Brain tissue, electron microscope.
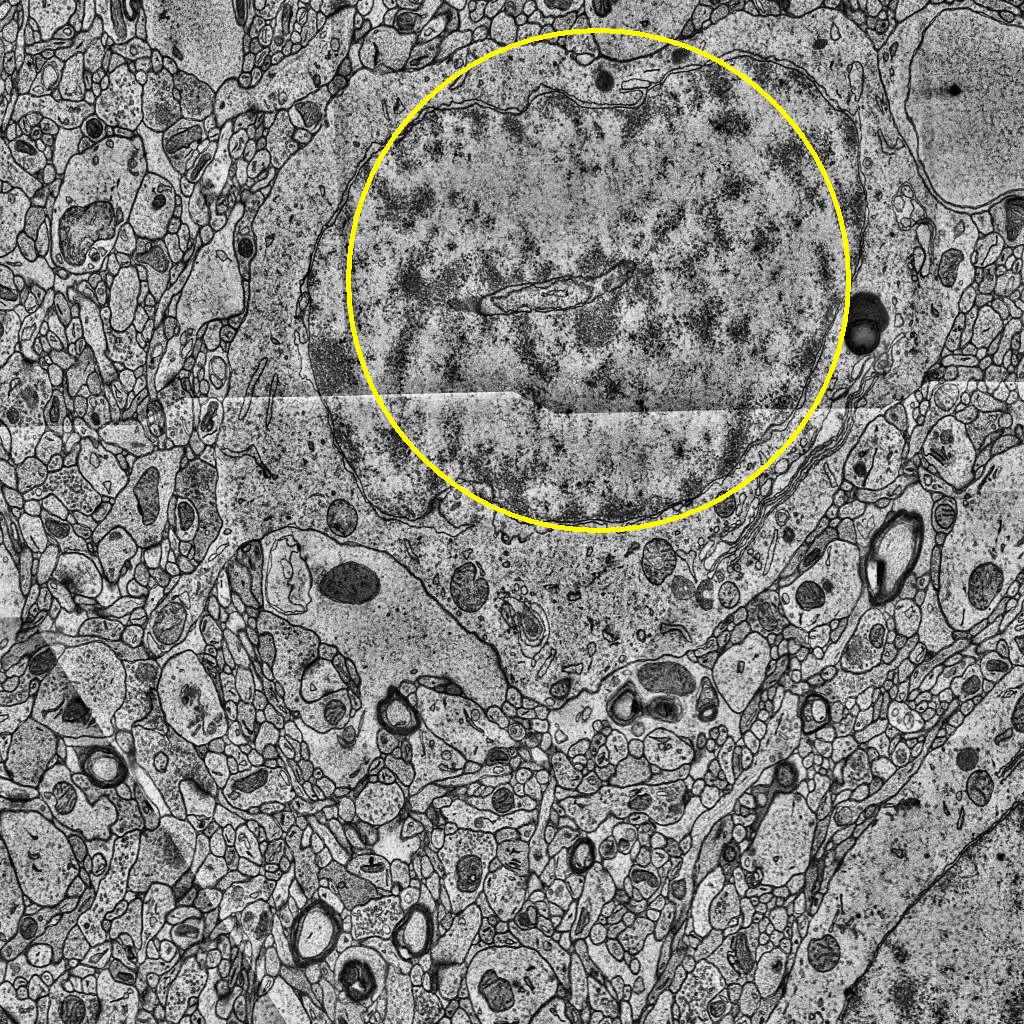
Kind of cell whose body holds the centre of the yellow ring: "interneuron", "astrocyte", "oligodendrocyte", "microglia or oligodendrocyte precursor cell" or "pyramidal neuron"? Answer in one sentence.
The ring's centre falls on an interneuron.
